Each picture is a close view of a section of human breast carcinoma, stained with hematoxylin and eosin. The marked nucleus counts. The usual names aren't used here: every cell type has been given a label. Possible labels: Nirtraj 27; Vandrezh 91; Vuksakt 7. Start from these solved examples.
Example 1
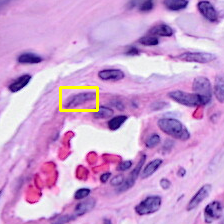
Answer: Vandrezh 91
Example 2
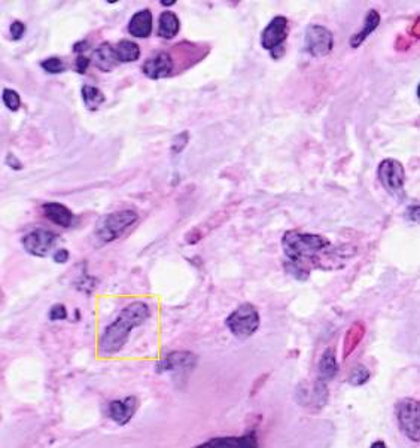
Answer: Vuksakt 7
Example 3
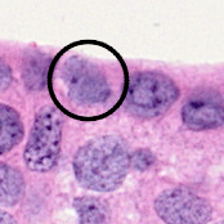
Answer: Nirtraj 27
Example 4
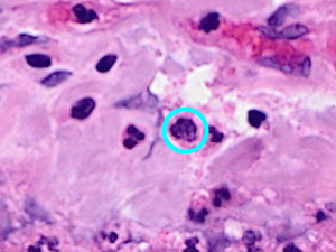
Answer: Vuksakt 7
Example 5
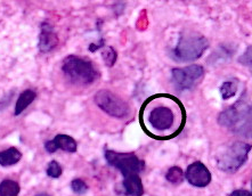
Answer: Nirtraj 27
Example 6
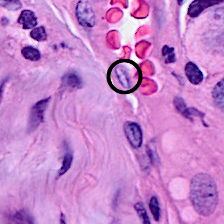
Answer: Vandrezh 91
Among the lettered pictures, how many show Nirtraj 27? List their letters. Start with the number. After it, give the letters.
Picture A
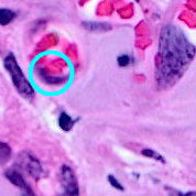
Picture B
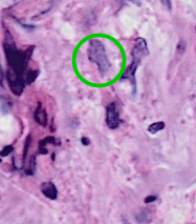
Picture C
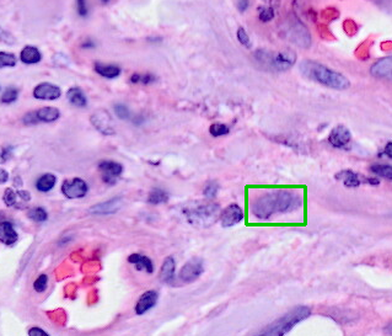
0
